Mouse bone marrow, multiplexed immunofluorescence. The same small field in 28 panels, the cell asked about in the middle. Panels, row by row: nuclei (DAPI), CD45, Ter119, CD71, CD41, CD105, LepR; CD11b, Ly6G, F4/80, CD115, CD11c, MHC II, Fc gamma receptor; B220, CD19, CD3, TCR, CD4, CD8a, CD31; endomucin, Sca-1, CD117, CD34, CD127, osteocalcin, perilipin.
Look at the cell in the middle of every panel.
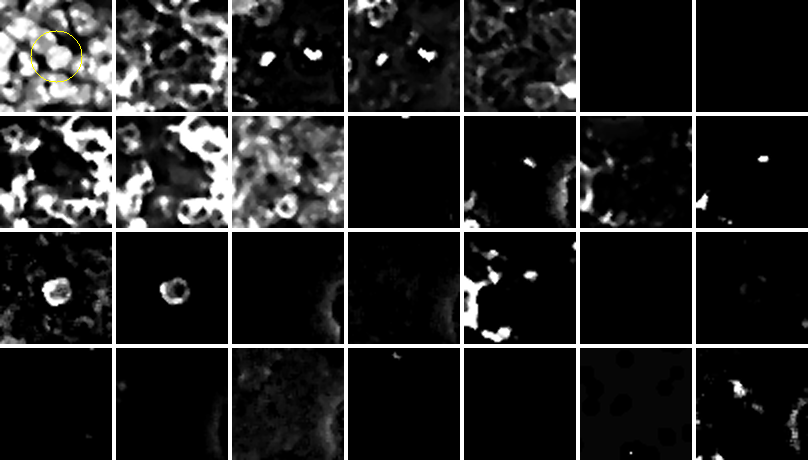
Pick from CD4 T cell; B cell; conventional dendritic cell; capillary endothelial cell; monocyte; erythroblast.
B cell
